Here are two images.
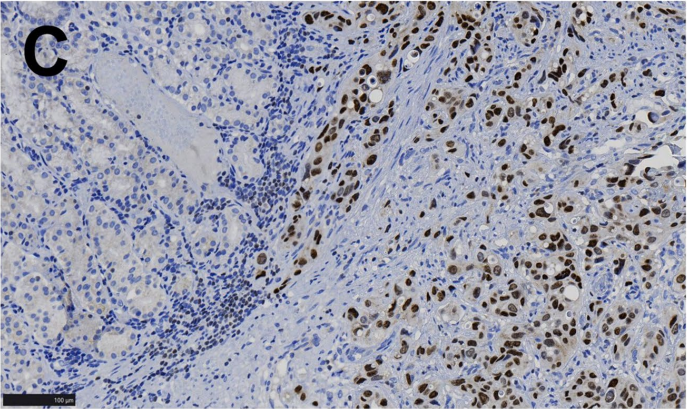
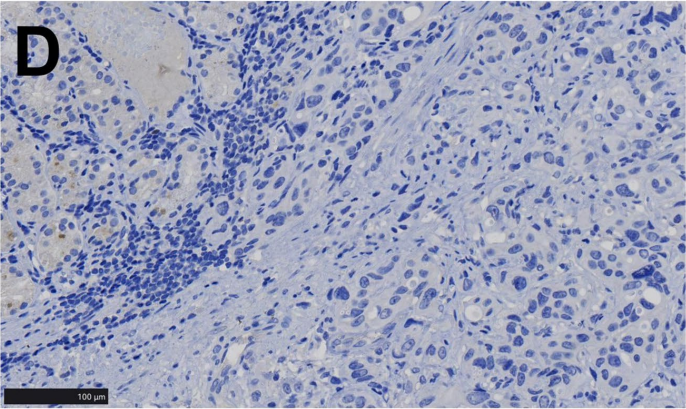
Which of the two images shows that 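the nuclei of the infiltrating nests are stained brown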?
The first image.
